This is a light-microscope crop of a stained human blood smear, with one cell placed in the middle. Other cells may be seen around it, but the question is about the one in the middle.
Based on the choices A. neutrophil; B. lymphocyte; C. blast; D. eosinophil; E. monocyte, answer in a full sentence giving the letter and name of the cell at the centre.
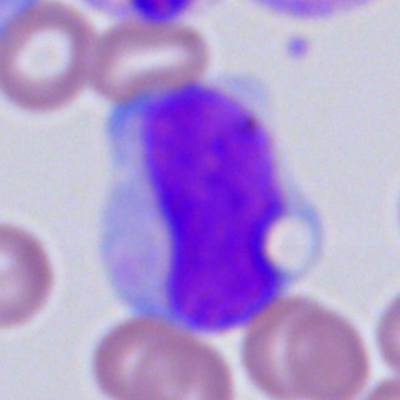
The middle of the crop contains a monocyte, so option E is right.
